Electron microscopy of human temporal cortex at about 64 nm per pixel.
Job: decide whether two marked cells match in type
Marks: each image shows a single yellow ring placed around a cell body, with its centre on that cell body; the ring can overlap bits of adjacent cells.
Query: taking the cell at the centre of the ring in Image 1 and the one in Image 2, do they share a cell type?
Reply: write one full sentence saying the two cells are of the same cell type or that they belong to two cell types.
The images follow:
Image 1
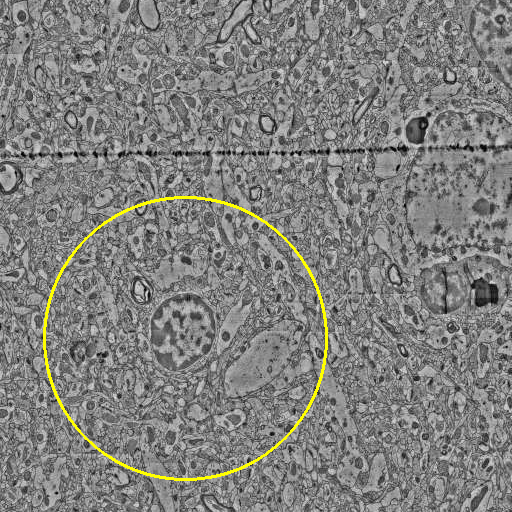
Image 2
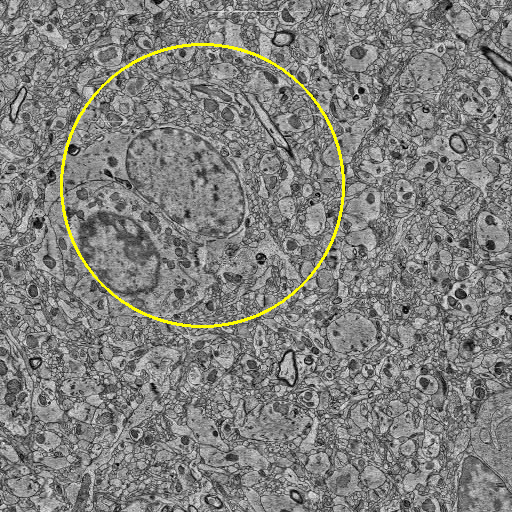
The cells at the ring centres in Image 1 and Image 2 are of the same cell type.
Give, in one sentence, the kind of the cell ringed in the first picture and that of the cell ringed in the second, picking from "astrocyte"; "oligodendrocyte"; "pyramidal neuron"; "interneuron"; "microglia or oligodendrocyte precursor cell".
The cell at the ring centre is a microglial cell or oligodendrocyte precursor cell in both pictures.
